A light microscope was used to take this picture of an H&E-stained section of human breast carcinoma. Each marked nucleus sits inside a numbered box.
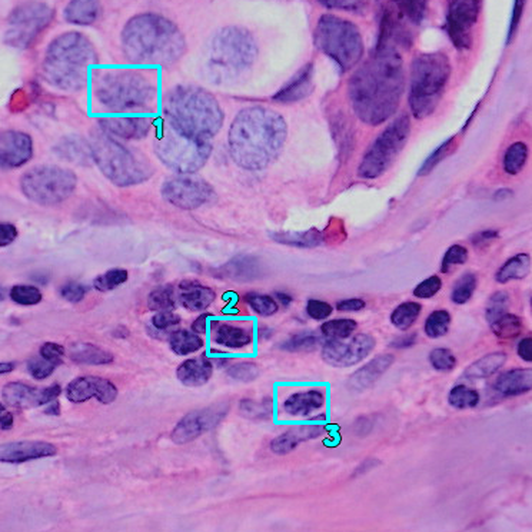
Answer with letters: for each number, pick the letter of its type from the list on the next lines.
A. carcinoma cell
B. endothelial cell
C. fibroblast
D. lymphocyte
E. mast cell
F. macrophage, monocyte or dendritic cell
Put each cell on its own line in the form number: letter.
1: A
2: D
3: D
